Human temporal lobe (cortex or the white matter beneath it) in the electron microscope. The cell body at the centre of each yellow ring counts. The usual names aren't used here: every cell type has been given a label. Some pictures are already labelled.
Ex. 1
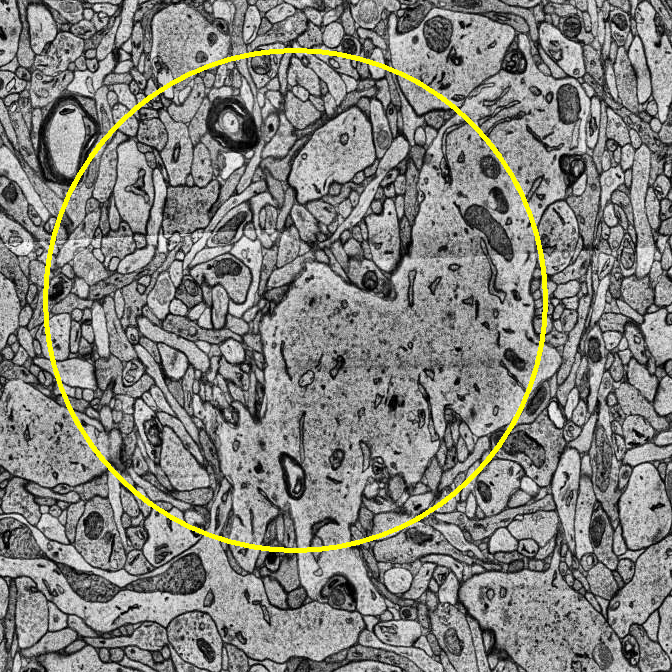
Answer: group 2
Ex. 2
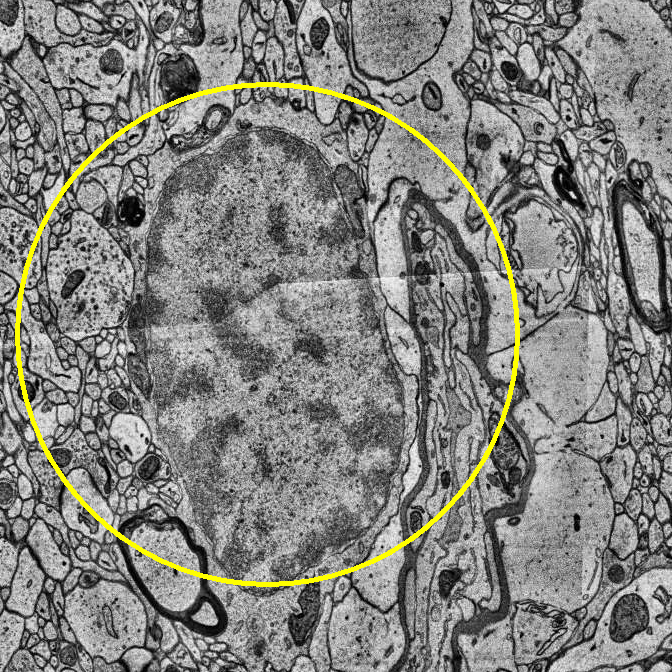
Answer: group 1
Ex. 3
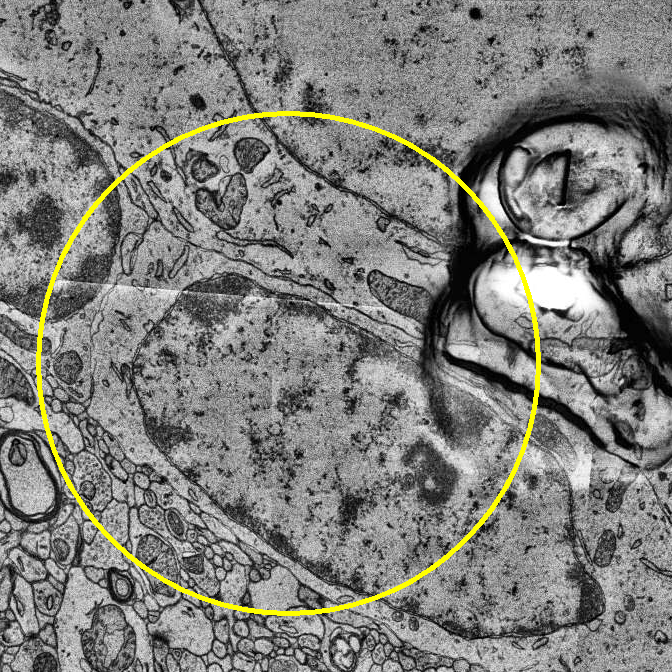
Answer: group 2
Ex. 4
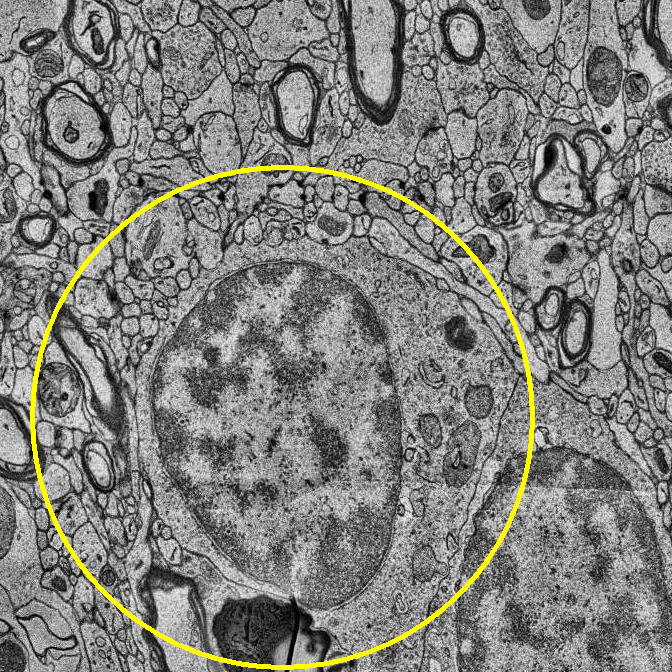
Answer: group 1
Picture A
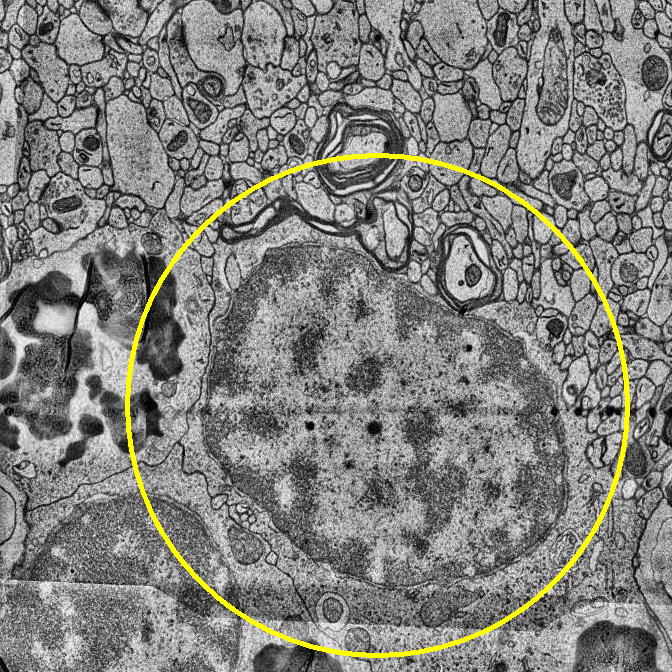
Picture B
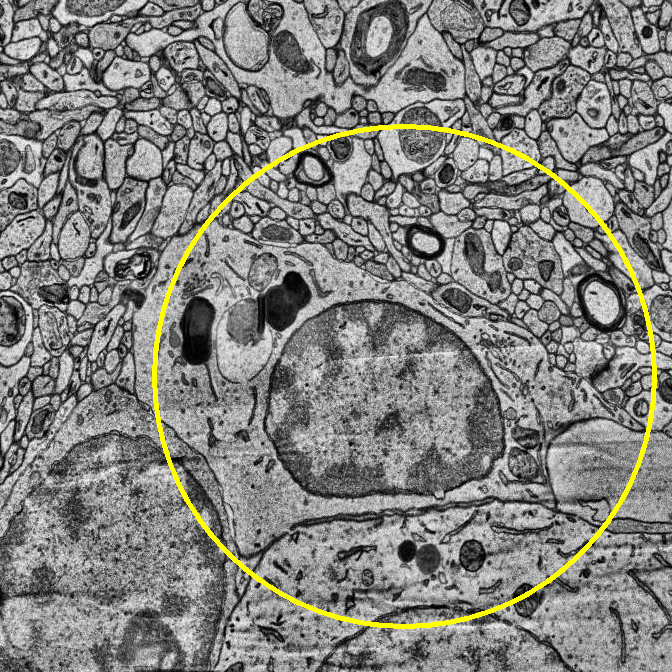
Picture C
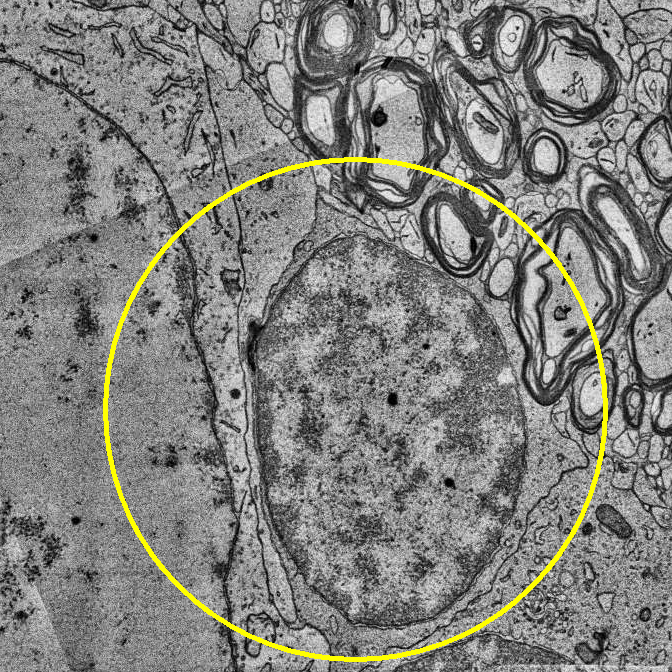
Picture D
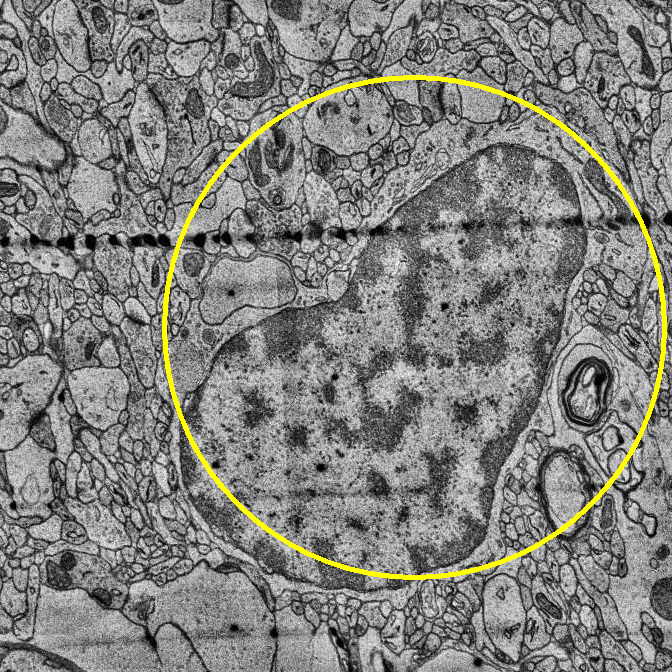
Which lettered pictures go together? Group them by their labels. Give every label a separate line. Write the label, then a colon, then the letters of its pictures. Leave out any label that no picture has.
group 2: B, D
group 1: A, C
